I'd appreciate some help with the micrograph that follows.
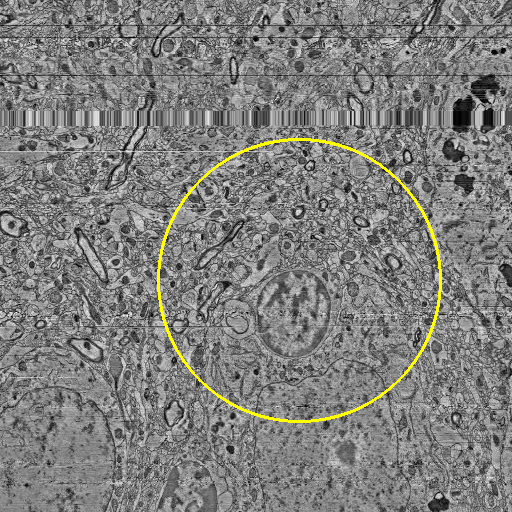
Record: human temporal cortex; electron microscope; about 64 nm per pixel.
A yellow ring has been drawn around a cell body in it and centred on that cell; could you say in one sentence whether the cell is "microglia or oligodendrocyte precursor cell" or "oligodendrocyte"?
It is an oligodendrocyte at the centre of the ring.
